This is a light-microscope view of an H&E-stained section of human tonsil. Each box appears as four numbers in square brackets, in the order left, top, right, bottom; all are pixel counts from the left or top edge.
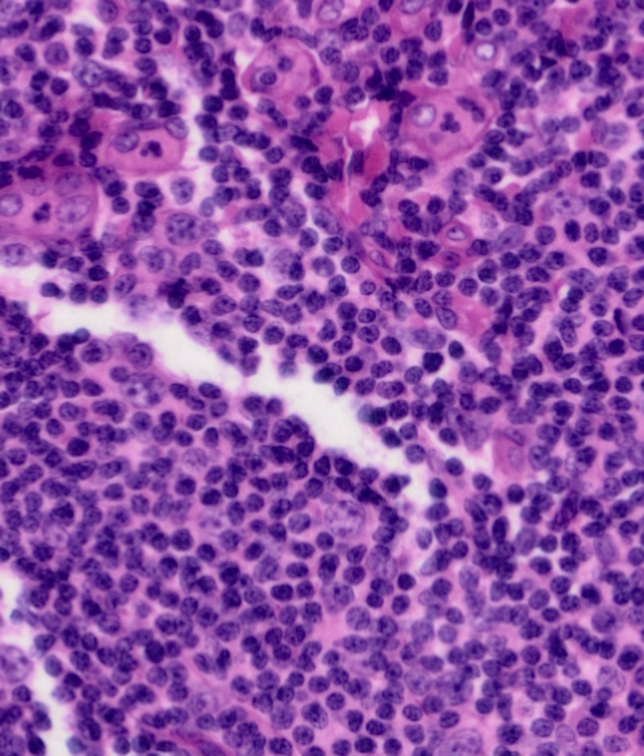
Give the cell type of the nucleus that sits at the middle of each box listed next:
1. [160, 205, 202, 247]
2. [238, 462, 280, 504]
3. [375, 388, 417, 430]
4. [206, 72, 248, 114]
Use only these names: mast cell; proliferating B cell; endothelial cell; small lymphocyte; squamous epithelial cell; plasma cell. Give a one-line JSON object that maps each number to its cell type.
{"1": "proliferating B cell", "2": "small lymphocyte", "3": "small lymphocyte", "4": "small lymphocyte"}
